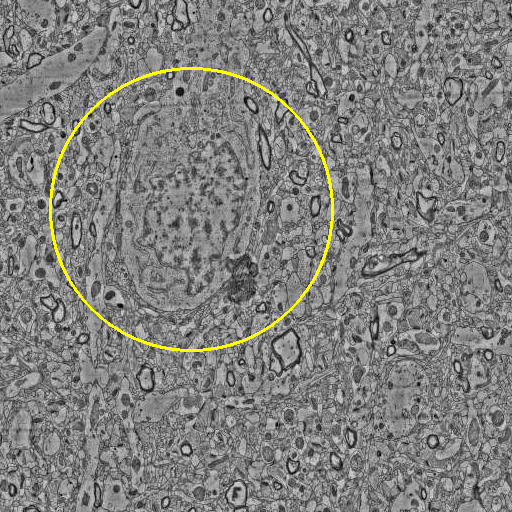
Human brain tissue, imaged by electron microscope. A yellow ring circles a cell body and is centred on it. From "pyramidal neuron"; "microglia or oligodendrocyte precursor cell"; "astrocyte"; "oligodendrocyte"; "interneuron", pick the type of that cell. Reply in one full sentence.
The cell body at the centre of the yellow ring belongs to an interneuron.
